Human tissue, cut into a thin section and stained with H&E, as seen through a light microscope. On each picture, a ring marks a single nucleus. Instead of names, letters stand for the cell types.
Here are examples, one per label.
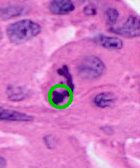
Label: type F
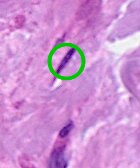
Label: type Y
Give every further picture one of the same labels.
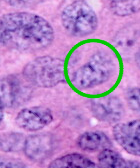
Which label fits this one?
type F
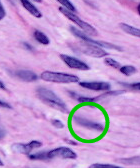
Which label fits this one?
type Y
